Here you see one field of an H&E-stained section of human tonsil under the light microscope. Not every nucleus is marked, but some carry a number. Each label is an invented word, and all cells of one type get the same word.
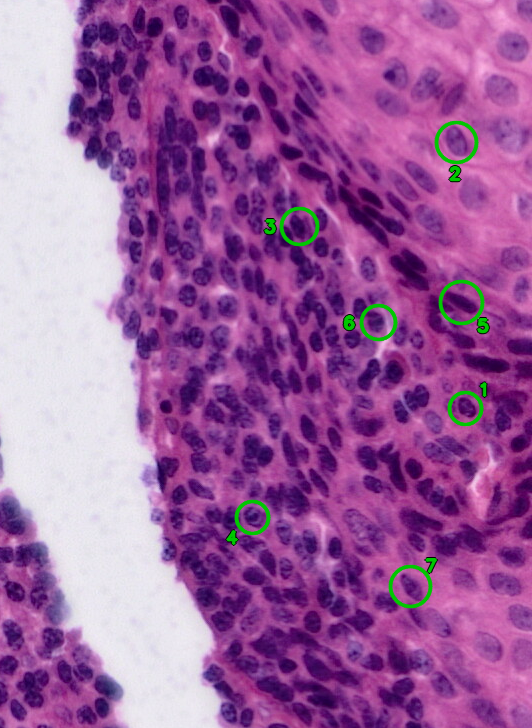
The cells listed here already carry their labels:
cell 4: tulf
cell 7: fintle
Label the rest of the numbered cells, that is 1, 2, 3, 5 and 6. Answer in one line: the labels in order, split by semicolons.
tulf; fintle; tulf; fintle; tulf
